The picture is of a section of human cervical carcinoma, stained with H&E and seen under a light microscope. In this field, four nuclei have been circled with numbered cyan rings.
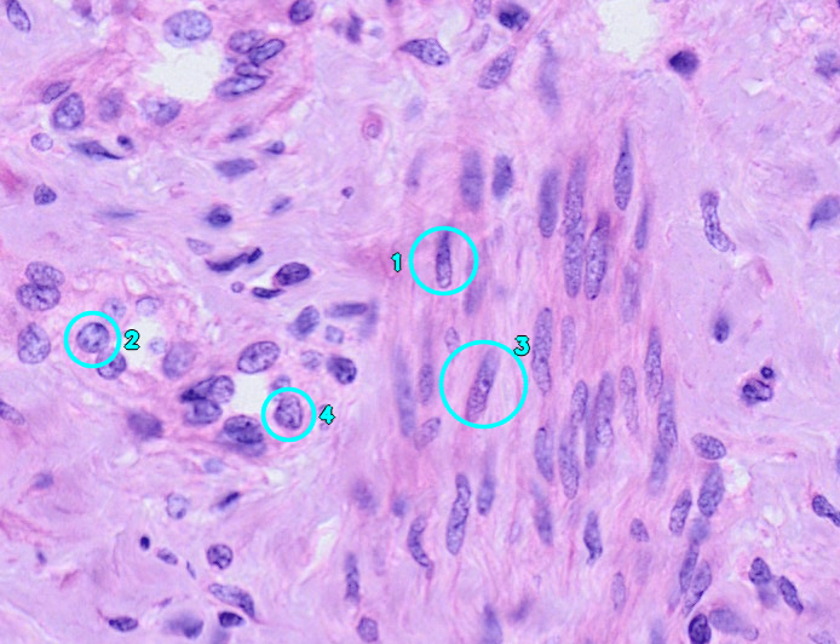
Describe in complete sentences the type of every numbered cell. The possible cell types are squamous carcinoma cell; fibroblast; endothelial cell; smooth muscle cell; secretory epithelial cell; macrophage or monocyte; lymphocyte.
Cells 1 and 3 are smooth muscle cells. Cells 2 and 4 are endothelial cells.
